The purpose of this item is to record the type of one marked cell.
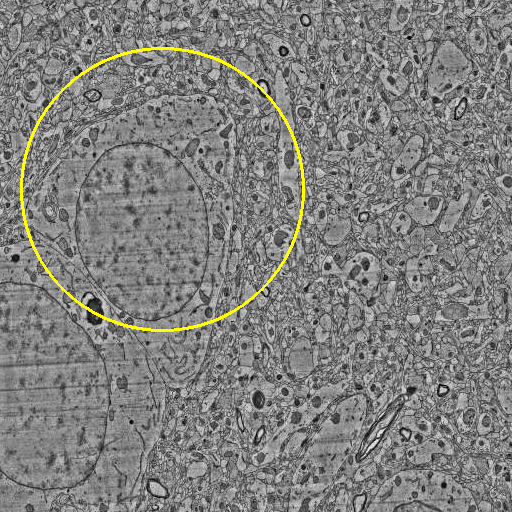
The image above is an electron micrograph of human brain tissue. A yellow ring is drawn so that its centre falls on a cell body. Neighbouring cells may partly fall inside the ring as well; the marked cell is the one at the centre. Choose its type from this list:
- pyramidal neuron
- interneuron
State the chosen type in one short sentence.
What the ring marks here is a pyramidal neuron.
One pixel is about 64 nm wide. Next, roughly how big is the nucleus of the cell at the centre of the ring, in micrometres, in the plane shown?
About 11 by 9 micrometres in this plane.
